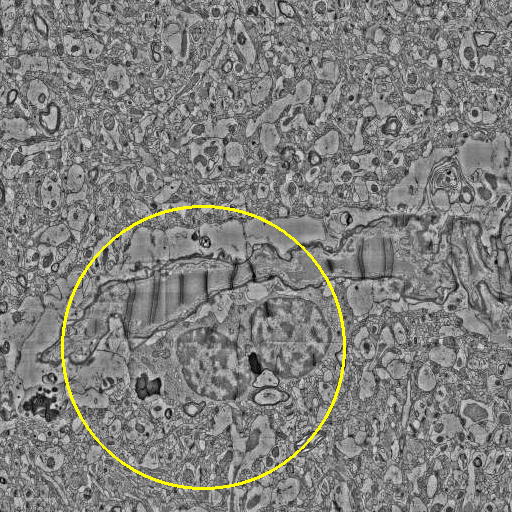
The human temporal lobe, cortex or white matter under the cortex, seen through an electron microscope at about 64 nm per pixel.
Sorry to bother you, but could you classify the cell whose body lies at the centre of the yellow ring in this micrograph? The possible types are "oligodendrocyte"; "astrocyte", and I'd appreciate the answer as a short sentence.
The ringed cell body is that of an oligodendrocyte.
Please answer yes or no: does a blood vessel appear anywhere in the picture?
Yes, a vessel shows somewhere in the image.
